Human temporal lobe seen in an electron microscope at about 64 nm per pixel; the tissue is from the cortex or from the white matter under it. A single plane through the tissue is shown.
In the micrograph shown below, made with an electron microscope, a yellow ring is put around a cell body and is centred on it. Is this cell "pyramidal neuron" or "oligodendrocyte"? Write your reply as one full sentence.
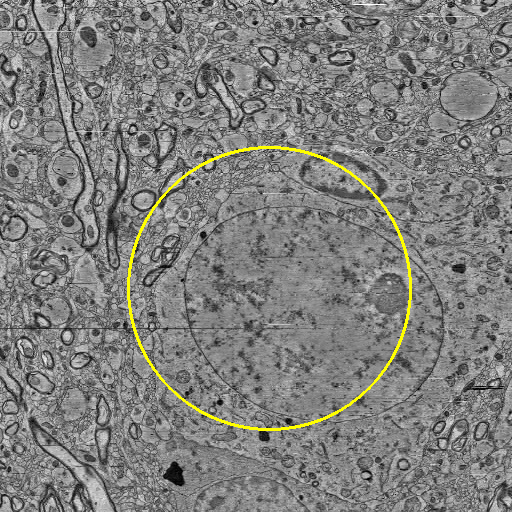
In the micrograph, a pyramidal neuron is the cell at the centre of the yellow ring.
